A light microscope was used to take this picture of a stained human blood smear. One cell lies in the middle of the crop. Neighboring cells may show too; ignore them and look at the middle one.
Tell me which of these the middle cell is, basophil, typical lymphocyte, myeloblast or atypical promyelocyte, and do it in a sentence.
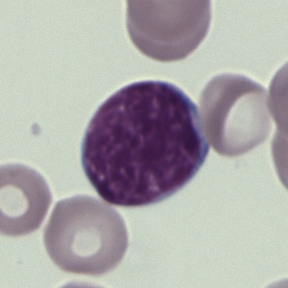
The cell nearest the centre of this crop is a typical lymphocyte.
